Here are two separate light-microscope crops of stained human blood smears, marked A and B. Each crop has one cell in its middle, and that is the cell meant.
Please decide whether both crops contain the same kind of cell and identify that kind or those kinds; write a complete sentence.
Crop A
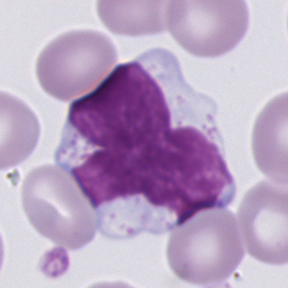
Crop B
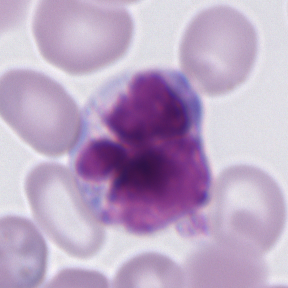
Yes, the central cells of both crops are large granular lymphocytes.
